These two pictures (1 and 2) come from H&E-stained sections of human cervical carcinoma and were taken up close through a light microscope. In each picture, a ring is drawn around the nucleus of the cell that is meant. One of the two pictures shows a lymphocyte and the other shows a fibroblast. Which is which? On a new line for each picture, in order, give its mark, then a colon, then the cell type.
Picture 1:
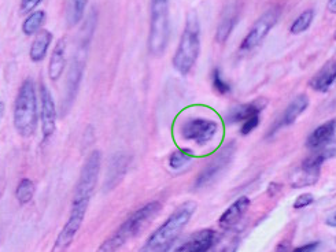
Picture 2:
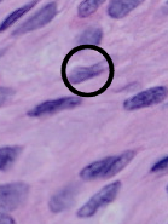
1: lymphocyte
2: fibroblast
